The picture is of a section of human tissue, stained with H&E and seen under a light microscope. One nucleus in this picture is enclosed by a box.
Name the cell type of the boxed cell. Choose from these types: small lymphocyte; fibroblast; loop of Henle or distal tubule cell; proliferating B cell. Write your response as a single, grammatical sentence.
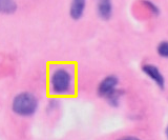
In the stained section, the boxed cell is a loop of Henle or distal tubule cell.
